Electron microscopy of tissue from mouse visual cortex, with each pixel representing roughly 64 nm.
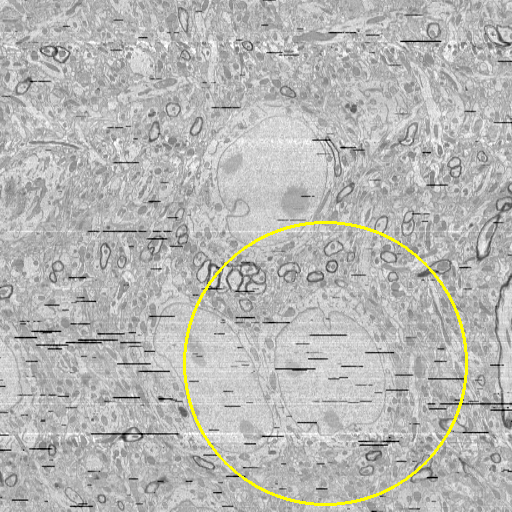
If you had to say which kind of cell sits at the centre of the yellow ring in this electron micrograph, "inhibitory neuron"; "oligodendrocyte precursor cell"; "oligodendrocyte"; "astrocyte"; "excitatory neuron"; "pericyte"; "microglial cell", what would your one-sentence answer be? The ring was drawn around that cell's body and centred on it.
The cell sitting at the centre of the ring is an excitatory neuron.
